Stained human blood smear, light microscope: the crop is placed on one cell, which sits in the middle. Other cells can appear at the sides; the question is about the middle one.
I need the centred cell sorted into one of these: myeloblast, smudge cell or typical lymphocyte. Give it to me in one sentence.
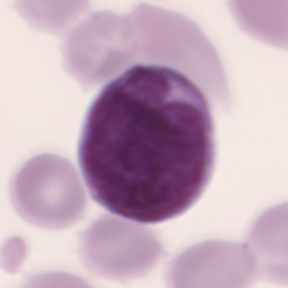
In short, the cell at the center is a myeloblast.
